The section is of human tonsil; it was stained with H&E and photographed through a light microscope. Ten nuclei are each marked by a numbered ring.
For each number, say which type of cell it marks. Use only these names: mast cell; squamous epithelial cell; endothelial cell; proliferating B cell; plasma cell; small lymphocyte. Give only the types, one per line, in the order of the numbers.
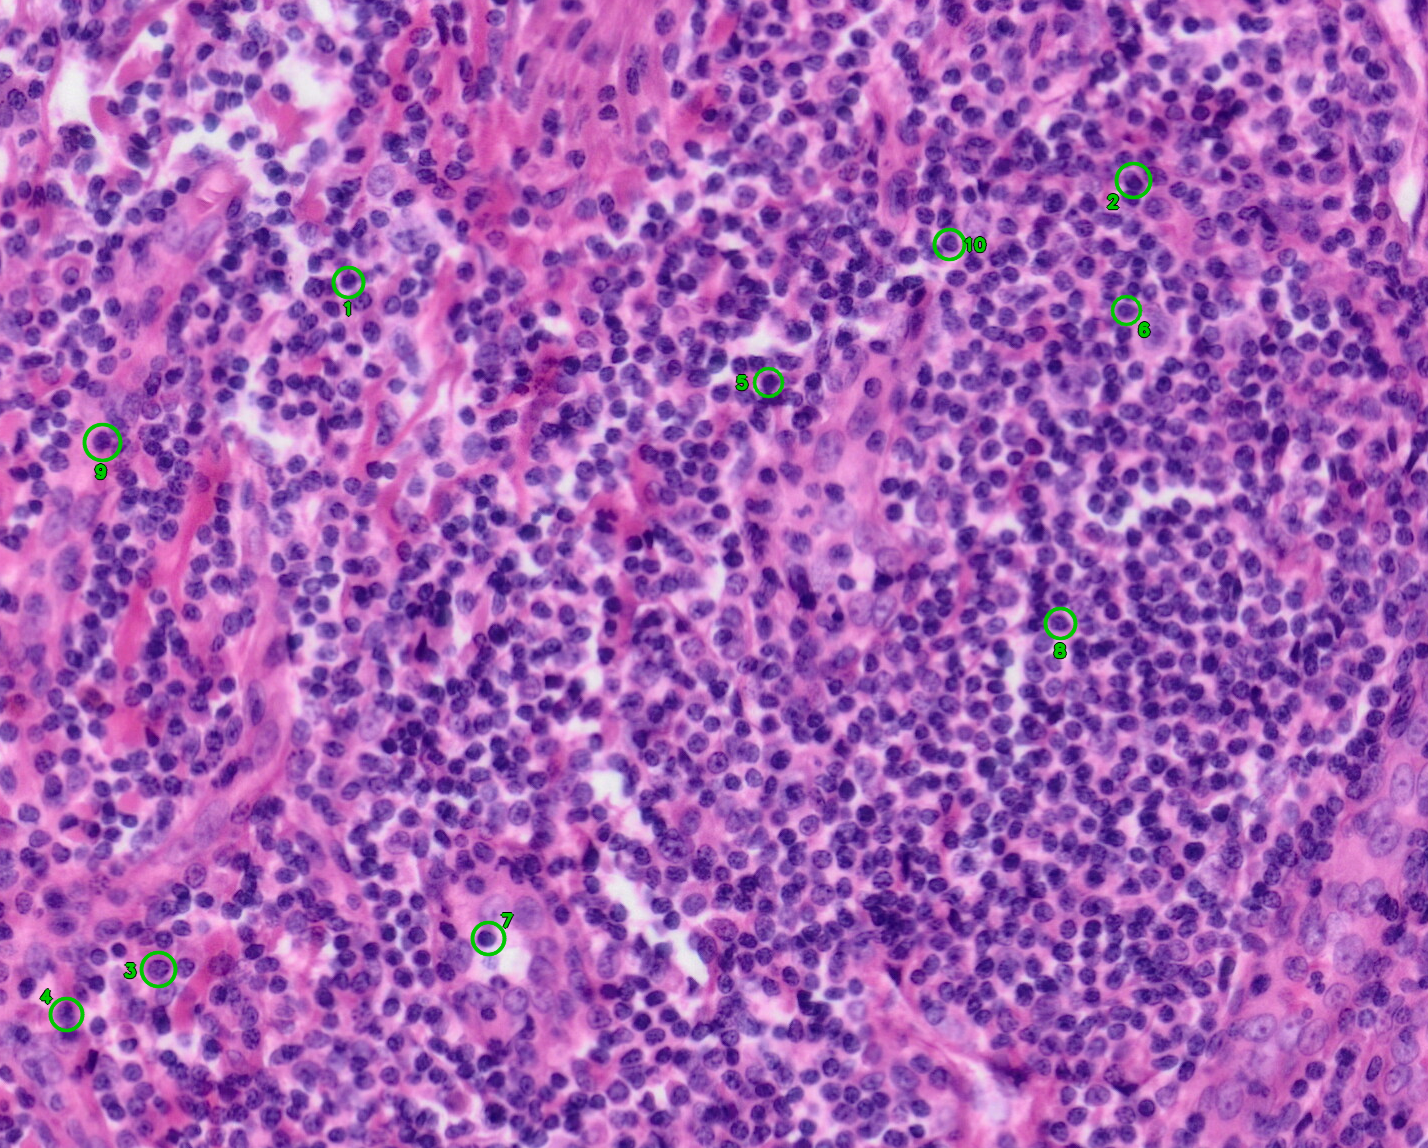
small lymphocyte
small lymphocyte
plasma cell
endothelial cell
small lymphocyte
small lymphocyte
endothelial cell
small lymphocyte
endothelial cell
small lymphocyte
